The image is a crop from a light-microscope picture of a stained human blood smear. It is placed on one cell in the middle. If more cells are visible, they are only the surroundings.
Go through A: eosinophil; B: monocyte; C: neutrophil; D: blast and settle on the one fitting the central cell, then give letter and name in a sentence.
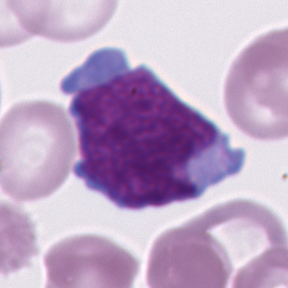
Option D is the keyed answer: the cell in the middle is a blast.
